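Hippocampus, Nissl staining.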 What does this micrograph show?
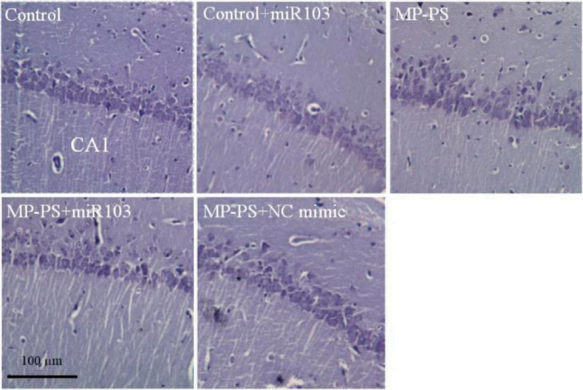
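Beside the band lies a paler layer crossed by fine parallel striations that run away from the cell layer. Scattered through the paler tissue are small, darker, rounded nuclei of much smaller cells, and a few round or oval clear spaces that are cut blood vessels.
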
